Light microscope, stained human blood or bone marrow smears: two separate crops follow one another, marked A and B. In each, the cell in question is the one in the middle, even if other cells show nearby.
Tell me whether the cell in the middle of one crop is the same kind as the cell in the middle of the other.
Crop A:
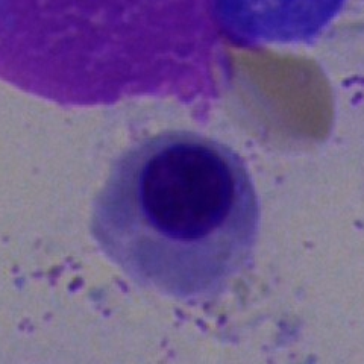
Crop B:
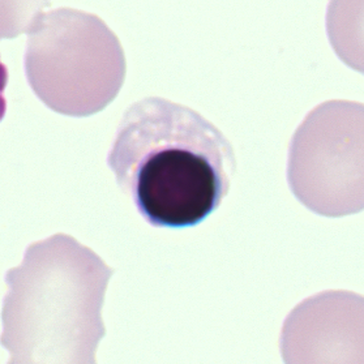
yes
